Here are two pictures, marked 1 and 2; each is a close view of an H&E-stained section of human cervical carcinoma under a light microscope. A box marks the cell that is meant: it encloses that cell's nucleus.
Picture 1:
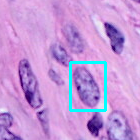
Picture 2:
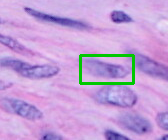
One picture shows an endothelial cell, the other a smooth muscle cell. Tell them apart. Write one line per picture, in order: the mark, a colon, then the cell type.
1: endothelial cell
2: smooth muscle cell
